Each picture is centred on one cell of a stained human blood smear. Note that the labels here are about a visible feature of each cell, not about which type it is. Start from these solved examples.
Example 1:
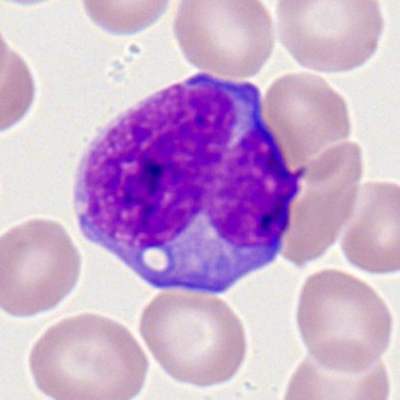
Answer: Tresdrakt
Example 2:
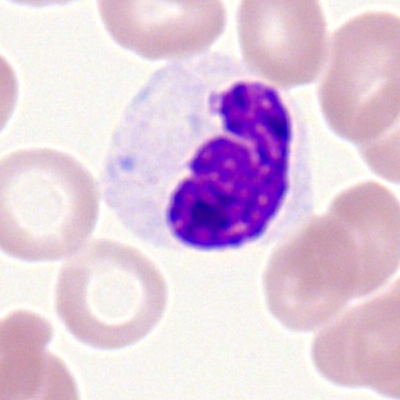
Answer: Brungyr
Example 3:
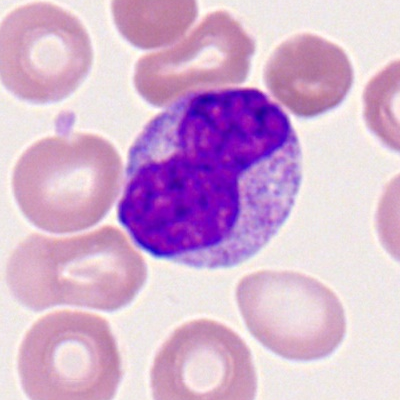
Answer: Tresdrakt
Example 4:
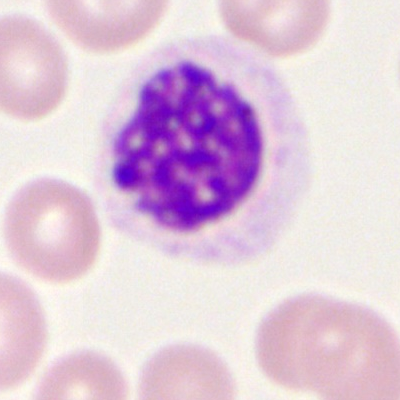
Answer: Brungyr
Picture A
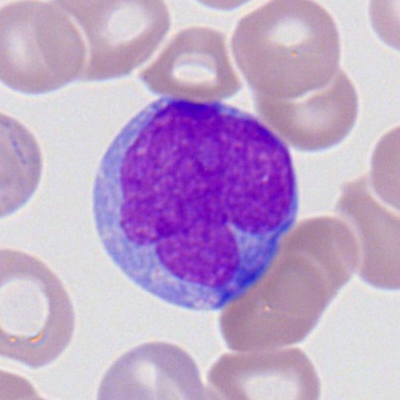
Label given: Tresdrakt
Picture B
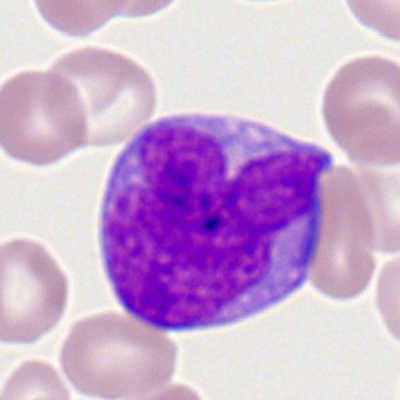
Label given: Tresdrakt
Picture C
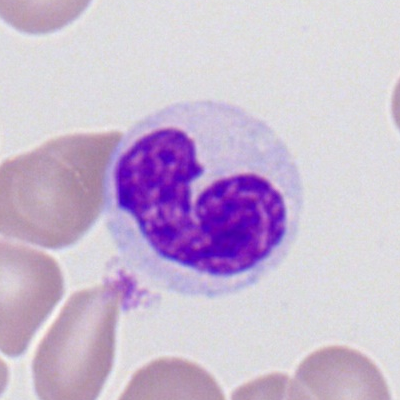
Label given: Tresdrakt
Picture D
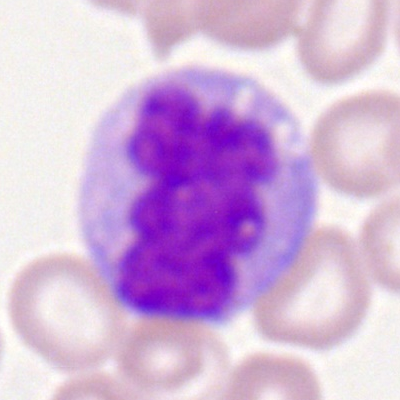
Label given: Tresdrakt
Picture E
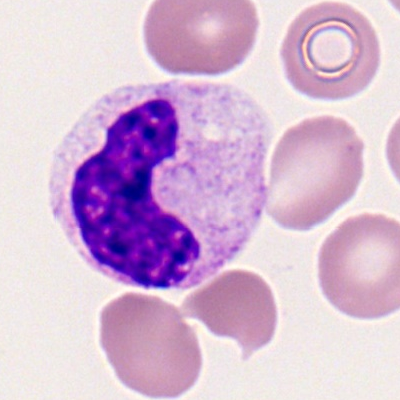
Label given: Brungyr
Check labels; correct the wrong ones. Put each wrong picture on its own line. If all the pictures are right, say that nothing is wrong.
C: not Tresdrakt but Brungyr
